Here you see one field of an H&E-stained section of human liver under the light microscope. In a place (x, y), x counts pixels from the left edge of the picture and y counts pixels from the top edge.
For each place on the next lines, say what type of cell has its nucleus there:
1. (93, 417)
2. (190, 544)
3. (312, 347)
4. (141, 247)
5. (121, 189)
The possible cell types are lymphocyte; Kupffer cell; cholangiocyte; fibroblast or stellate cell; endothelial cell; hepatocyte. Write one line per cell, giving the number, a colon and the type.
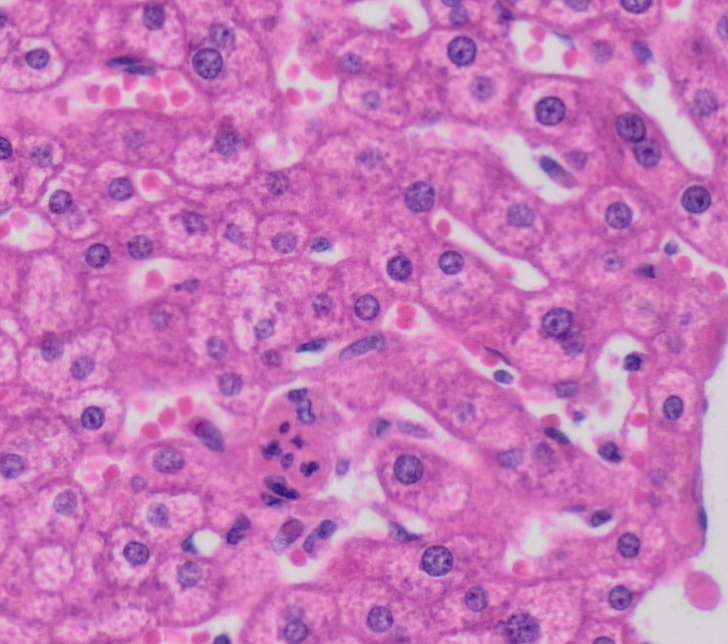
1: hepatocyte
2: endothelial cell
3: endothelial cell
4: hepatocyte
5: hepatocyte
